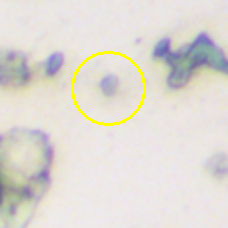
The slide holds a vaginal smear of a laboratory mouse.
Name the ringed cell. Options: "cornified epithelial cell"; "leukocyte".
leukocyte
